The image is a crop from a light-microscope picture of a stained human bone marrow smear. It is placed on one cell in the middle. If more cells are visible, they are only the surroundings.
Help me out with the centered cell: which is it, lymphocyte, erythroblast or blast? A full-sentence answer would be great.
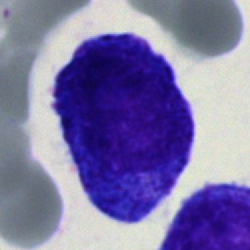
The middle of this crop is occupied by a blast.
